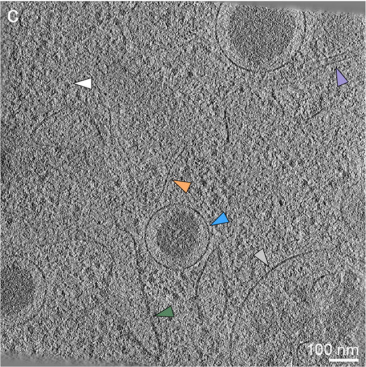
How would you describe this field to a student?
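A slice through the cytoplasm of a cell in an electron tomogram shows a round membrane-bound granule with granular content near the centre and a larger one at the upper right. Thin membrane profiles of endoplasmic reticulum curve through the field, with straight microtubules and a very thin actin filament nearby. Small dark ribosome particles dot the surrounding cytoplasm.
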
